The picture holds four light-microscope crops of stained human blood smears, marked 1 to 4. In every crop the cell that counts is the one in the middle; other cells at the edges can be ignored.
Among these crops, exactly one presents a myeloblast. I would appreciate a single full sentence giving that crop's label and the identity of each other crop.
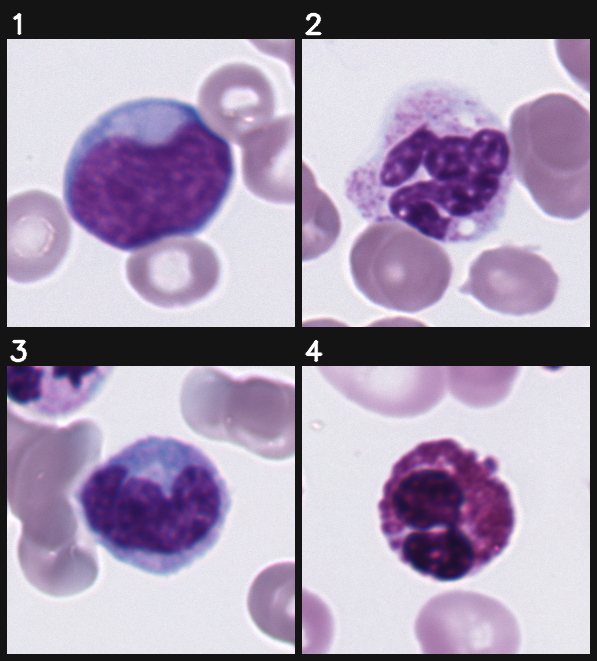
Here crop 1 shows a myeloblast, while crop 2 is a segmented neutrophil, crop 3 is a monocyte and crop 4 is an eosinophil.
